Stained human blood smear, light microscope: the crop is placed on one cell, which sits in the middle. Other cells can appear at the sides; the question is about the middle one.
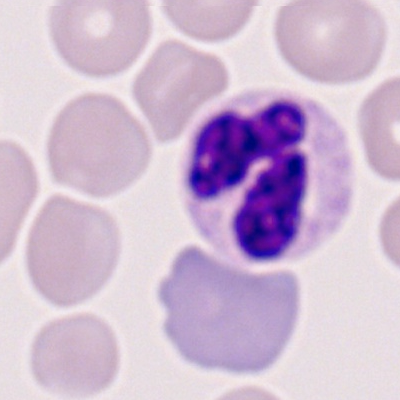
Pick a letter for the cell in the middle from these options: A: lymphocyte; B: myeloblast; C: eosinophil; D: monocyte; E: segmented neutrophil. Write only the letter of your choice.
E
